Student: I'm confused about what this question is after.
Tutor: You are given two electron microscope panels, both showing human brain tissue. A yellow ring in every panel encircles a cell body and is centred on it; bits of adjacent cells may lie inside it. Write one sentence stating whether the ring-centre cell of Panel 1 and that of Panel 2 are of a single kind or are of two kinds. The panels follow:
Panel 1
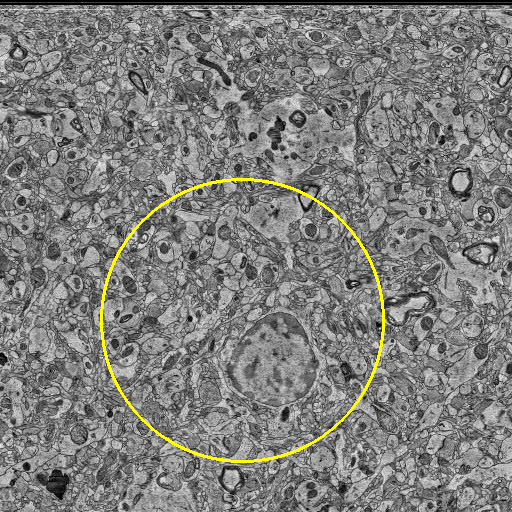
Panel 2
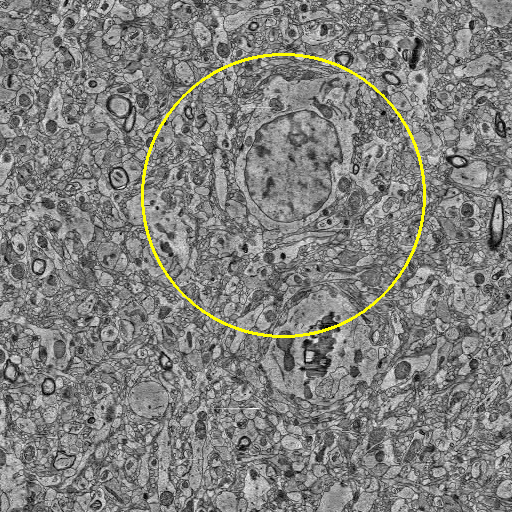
Here, the Panel 1 ring-centre cell and the Panel 2 ring-centre cell are of a single kind.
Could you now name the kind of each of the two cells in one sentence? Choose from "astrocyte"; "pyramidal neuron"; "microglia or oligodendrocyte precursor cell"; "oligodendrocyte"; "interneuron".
Both pictures show a microglial cell or oligodendrocyte precursor cell at the centre of the ring.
